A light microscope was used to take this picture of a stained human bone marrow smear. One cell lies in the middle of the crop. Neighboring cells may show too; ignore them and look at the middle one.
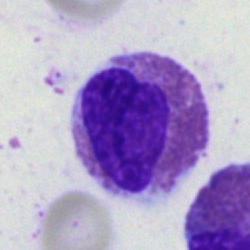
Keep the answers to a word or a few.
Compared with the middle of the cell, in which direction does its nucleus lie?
left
